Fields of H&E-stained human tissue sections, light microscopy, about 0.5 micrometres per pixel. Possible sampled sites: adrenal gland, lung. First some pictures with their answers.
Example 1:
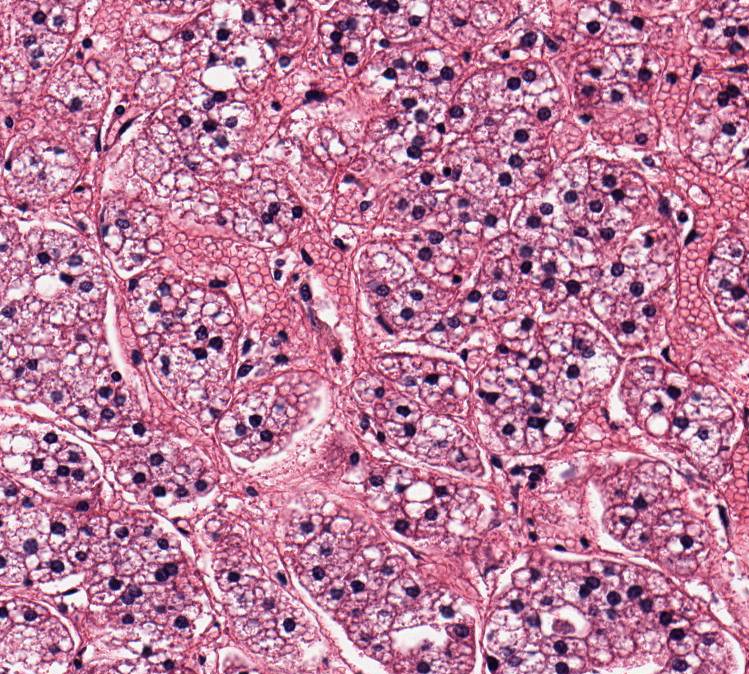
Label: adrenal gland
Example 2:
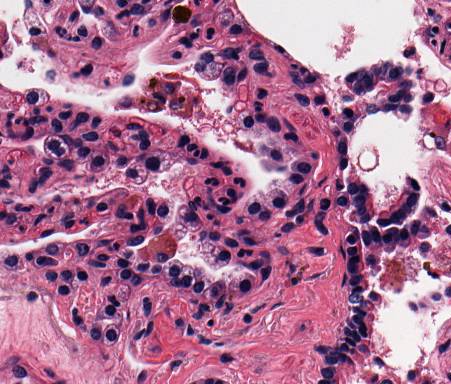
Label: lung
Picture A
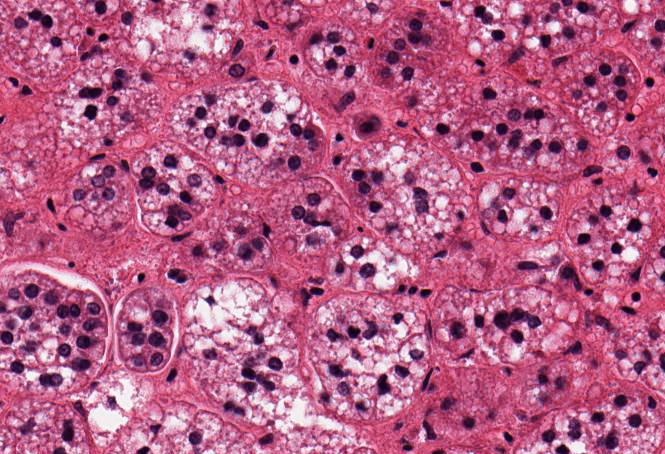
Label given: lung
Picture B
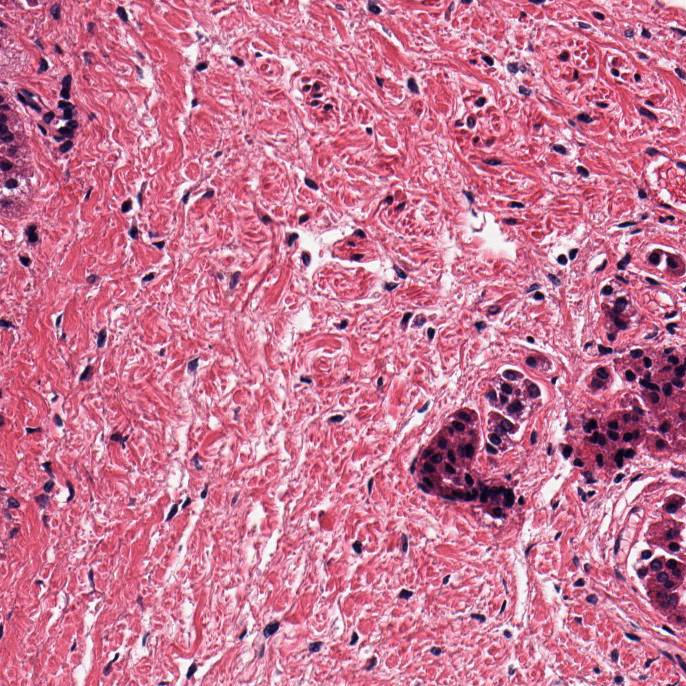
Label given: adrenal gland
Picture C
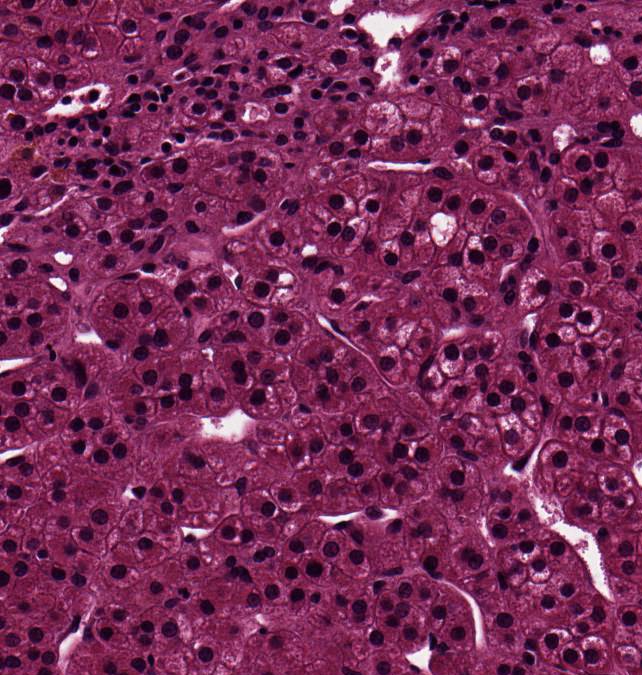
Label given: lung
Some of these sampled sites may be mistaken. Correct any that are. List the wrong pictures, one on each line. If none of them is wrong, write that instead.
A is labelled lung; correct label: adrenal gland
C is labelled lung; correct label: adrenal gland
